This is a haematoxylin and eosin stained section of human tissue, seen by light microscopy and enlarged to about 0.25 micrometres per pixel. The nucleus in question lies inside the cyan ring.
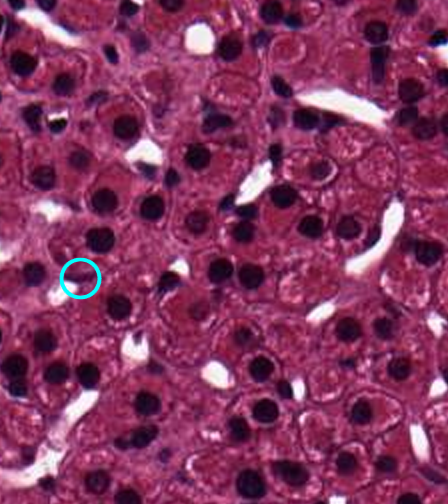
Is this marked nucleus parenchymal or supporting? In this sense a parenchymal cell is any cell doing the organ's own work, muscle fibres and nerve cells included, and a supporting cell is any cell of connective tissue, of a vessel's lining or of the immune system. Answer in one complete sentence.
Housed within a supporting cell is the marked nucleus.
